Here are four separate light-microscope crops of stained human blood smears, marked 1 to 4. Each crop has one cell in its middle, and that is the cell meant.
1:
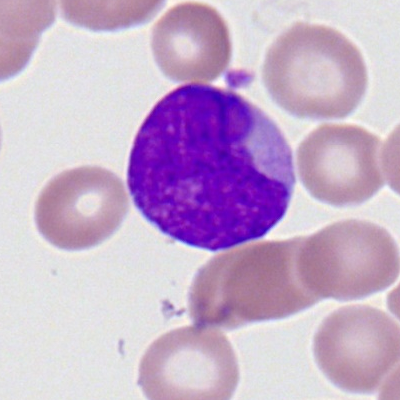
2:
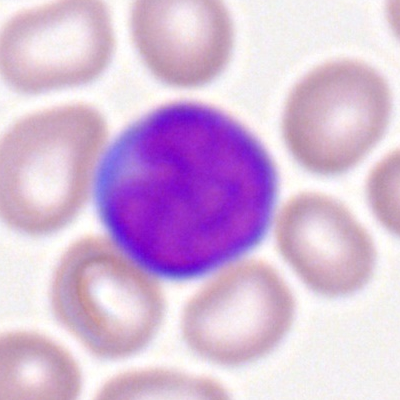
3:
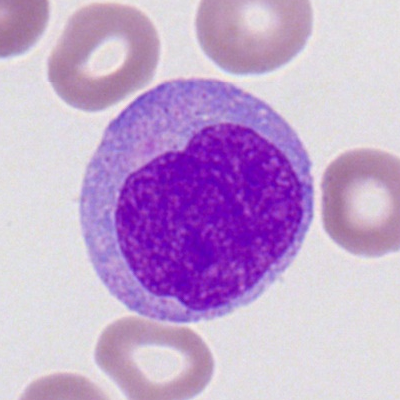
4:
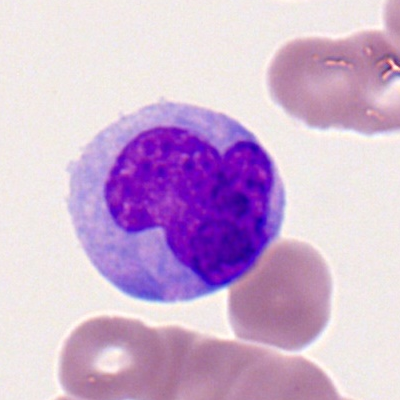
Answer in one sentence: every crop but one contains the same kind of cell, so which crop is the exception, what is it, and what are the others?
Crop 4 alone is a monocyte, and the other crops are all myeloblasts.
